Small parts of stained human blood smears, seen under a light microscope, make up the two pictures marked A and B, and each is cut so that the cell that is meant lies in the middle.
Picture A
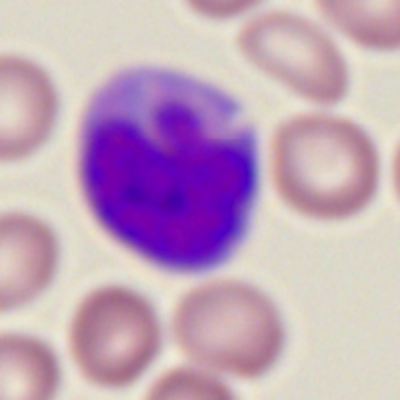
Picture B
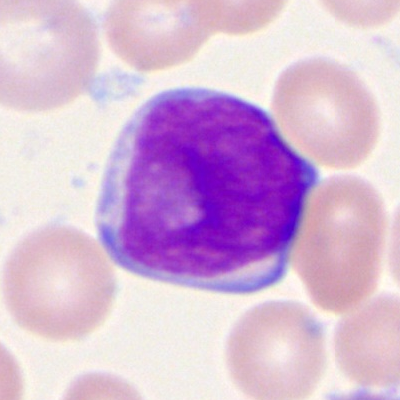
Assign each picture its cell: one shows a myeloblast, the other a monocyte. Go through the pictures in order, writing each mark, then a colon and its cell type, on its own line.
A: monocyte
B: myeloblast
